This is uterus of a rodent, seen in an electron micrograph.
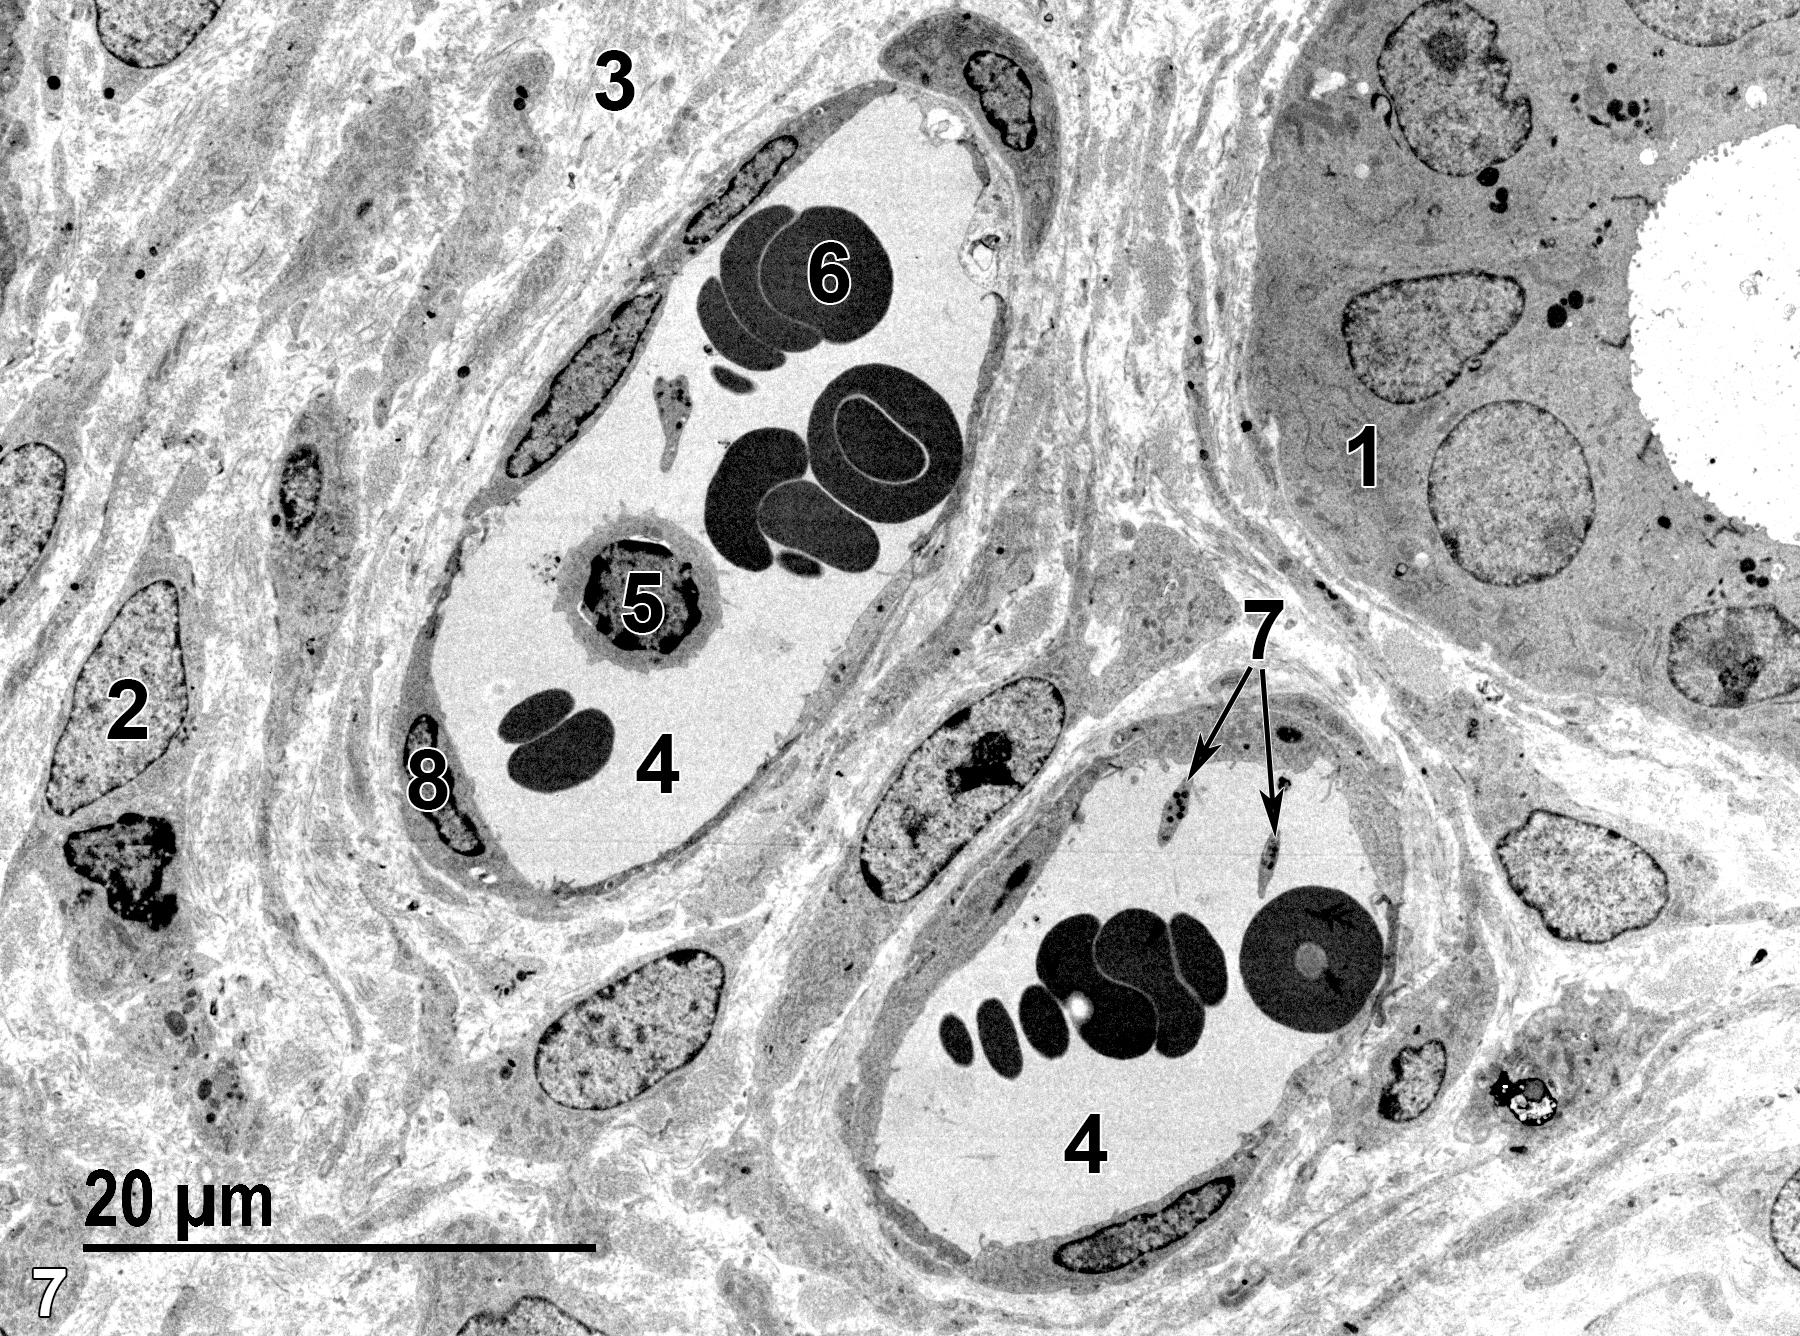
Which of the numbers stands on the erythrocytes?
The erythrocytes: 6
